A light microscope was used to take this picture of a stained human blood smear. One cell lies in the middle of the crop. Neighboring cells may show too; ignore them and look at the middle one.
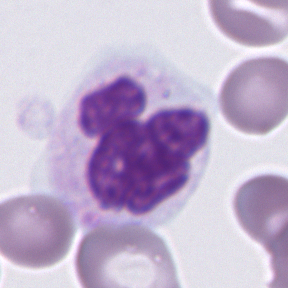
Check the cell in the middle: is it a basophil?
no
